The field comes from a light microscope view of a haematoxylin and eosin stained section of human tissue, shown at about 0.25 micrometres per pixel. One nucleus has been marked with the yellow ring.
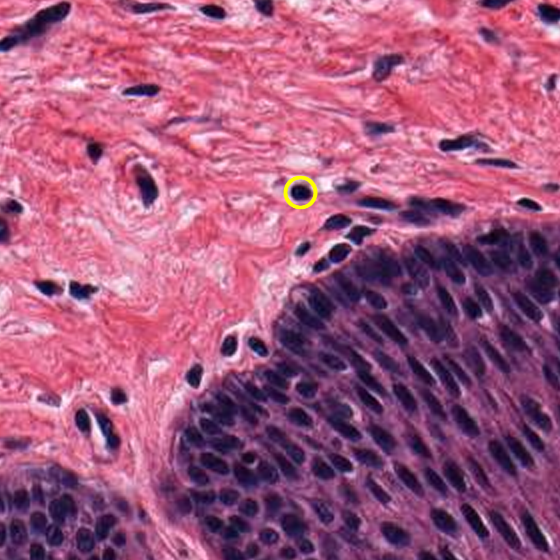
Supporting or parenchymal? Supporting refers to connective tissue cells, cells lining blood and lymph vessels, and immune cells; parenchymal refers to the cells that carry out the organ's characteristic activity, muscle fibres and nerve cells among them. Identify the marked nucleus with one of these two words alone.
supporting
